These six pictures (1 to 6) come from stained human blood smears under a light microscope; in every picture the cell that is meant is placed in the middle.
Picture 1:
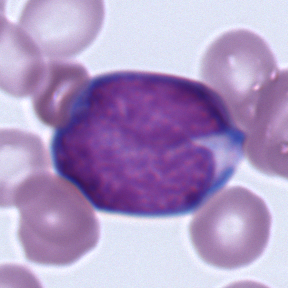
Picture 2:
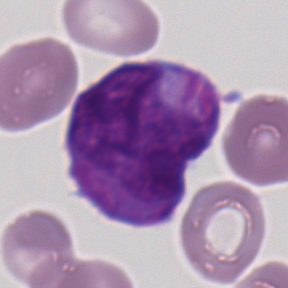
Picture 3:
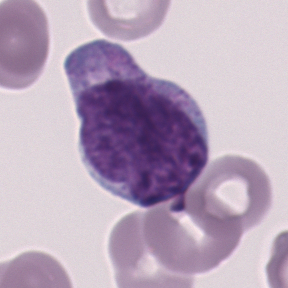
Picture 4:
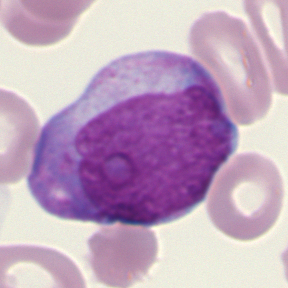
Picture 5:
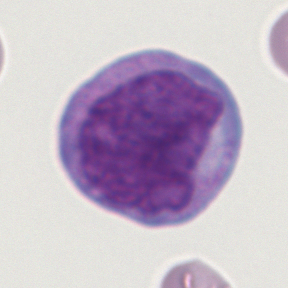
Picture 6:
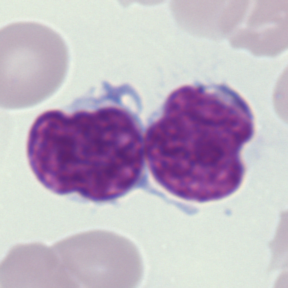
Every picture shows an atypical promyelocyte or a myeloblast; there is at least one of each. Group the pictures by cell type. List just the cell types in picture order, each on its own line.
myeloblast
atypical promyelocyte
atypical promyelocyte
atypical promyelocyte
atypical promyelocyte
myeloblast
